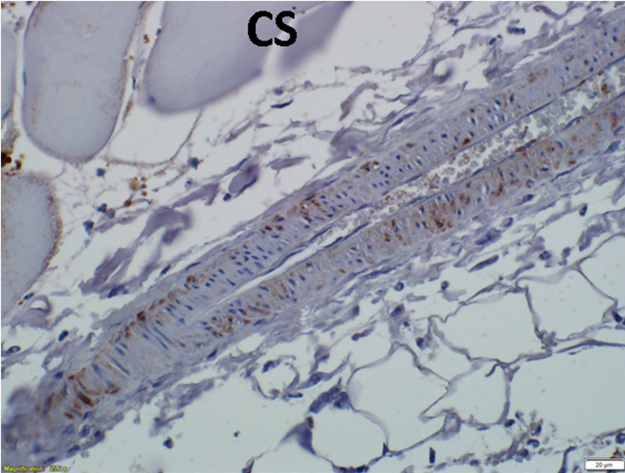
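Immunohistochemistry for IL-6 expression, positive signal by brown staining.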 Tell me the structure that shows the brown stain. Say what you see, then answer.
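A long tubular structure with a layered wall of elongated cells runs diagonally across the panel. Red blood cells lie within its lumen. Brown staining lies in the cells of its wall.
Conclusion: blood vessels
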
